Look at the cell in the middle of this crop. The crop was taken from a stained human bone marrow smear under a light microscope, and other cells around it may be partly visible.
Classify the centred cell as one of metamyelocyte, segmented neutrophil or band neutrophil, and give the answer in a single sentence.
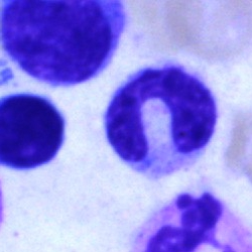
The cell of interest, located centrally, is a band neutrophil.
